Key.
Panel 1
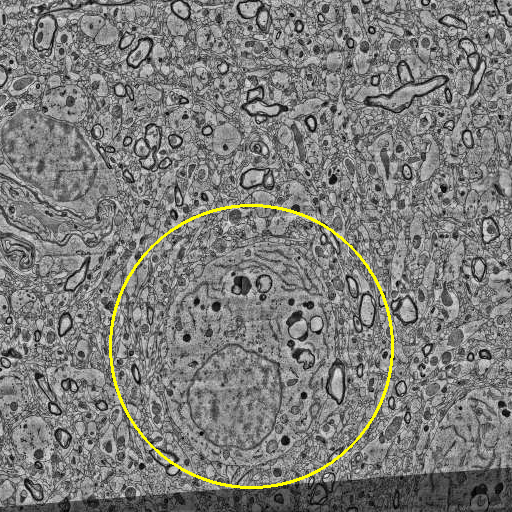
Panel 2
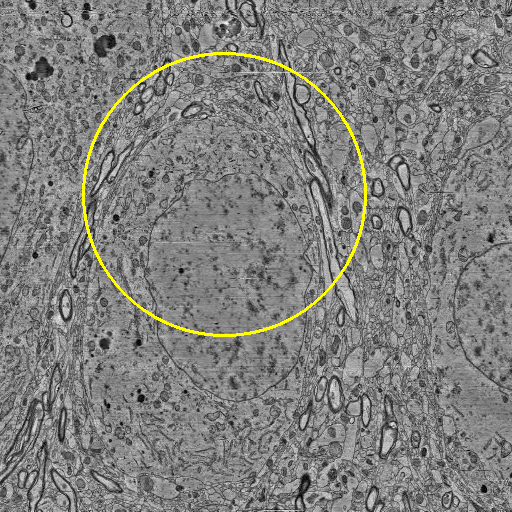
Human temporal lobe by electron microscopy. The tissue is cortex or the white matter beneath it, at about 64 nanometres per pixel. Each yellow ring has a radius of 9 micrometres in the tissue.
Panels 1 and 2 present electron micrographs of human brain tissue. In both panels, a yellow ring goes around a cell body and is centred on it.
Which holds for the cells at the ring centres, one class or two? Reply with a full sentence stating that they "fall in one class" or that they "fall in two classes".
Taken together, the ring-centre cells of the two panels fall in one class.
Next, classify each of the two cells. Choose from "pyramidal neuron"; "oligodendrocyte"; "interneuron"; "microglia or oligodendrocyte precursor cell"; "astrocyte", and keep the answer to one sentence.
Both rings mark a pyramidal neuron, one in each picture.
